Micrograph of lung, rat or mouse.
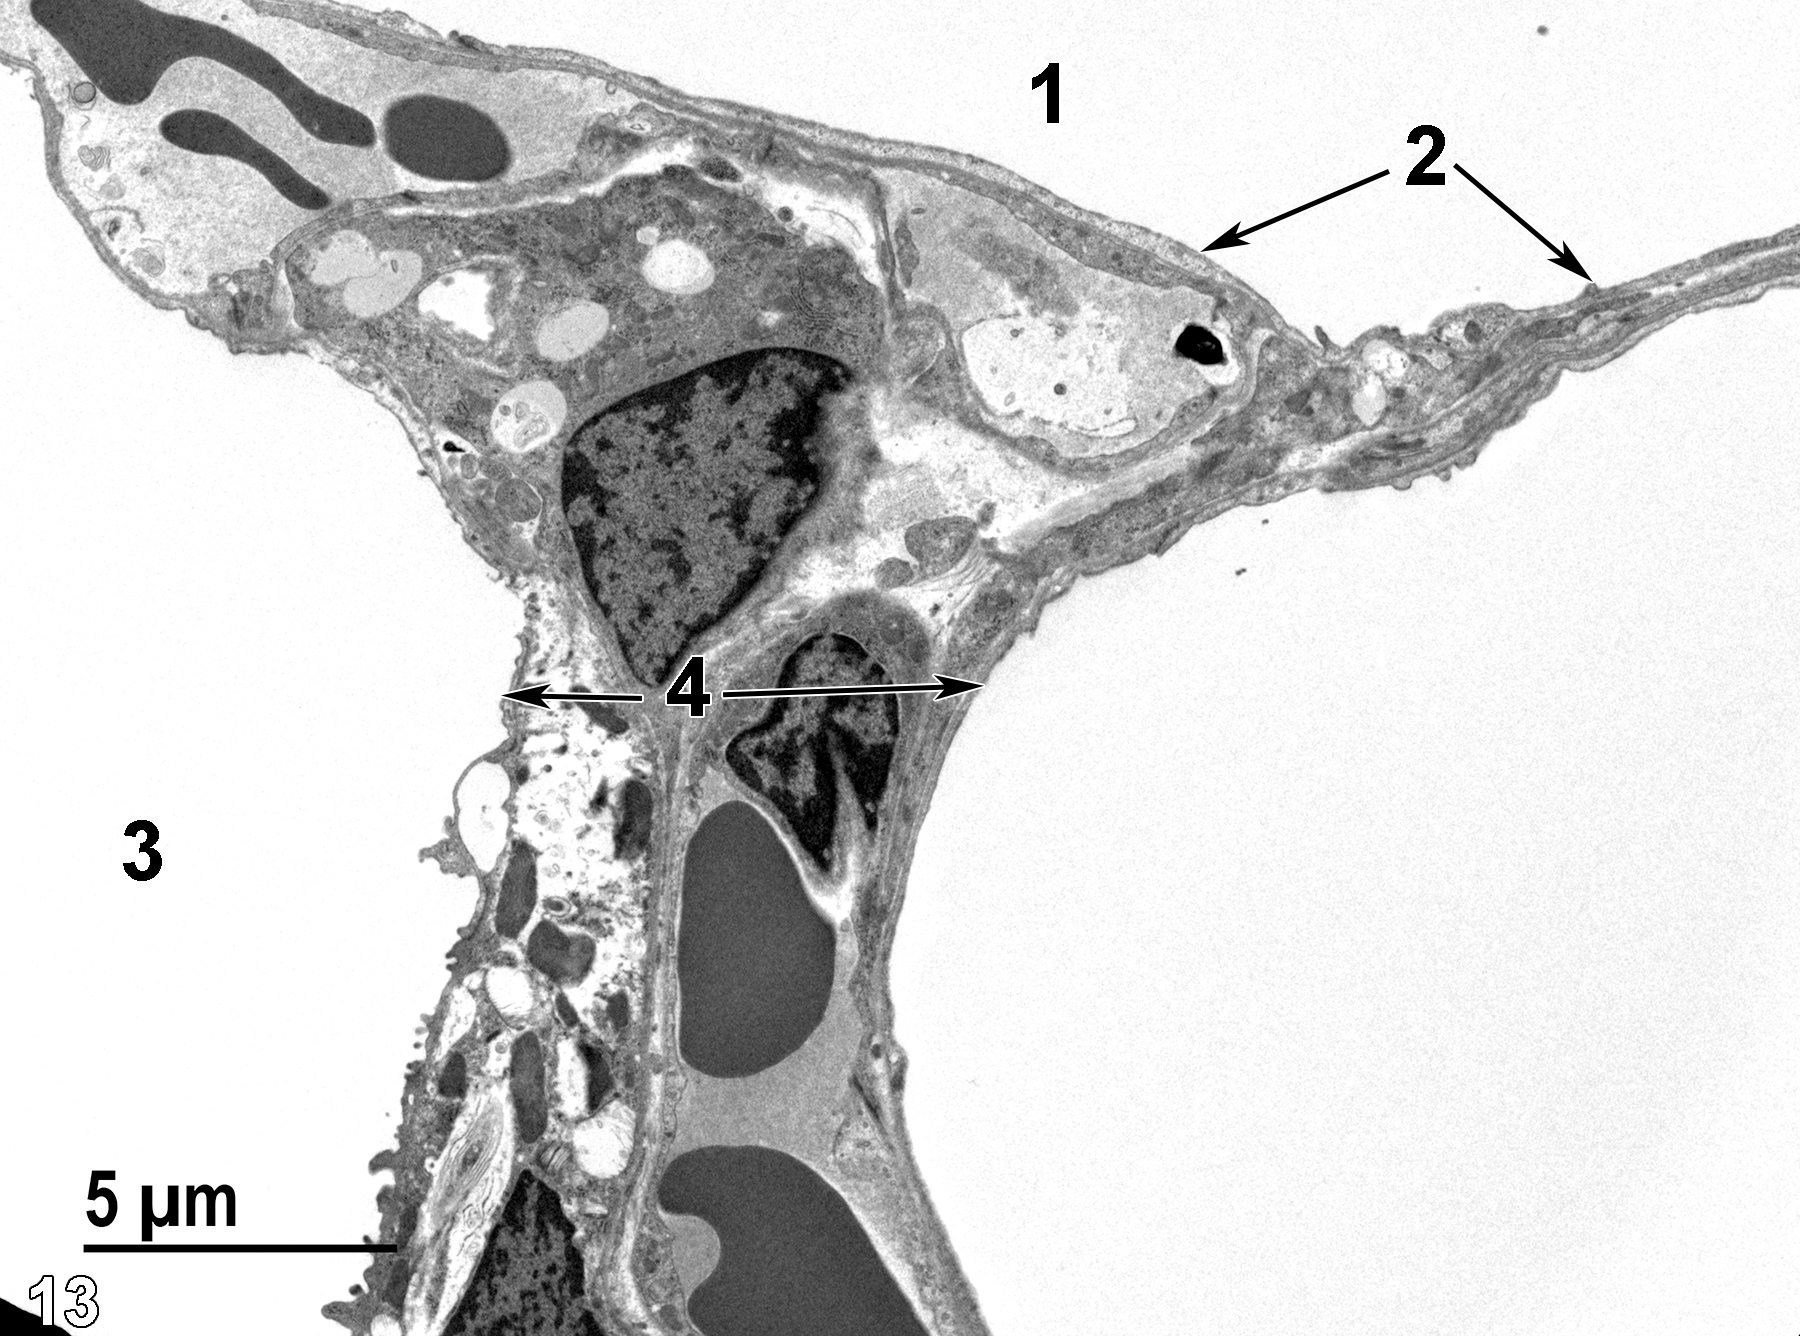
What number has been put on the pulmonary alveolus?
3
